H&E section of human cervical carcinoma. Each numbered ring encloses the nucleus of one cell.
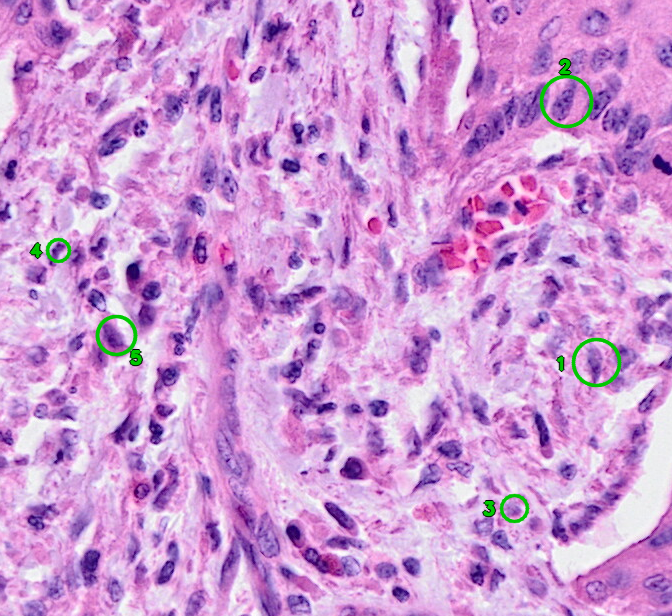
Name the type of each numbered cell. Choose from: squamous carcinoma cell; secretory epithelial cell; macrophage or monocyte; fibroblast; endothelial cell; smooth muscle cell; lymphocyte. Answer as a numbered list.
1. fibroblast
2. squamous carcinoma cell
3. fibroblast
4. fibroblast
5. macrophage or monocyte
